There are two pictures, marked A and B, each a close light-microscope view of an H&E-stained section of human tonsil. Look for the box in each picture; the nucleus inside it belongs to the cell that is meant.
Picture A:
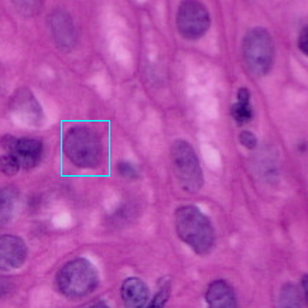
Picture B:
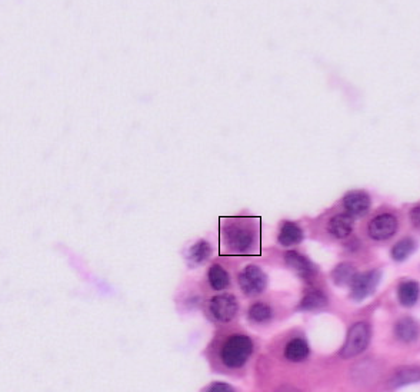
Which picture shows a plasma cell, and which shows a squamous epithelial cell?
A: squamous epithelial cell
B: plasma cell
